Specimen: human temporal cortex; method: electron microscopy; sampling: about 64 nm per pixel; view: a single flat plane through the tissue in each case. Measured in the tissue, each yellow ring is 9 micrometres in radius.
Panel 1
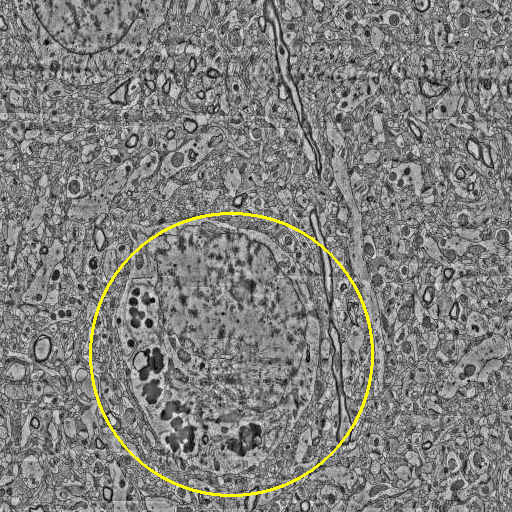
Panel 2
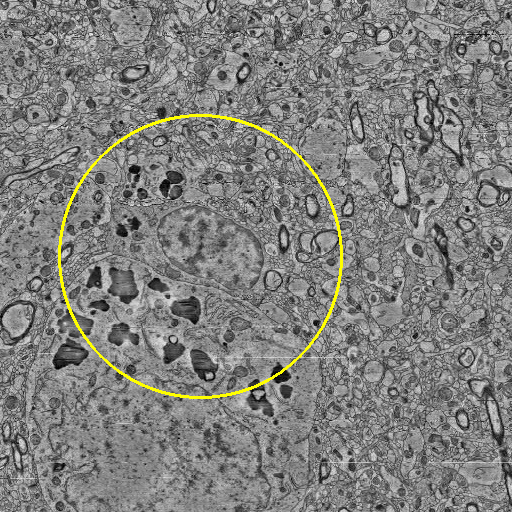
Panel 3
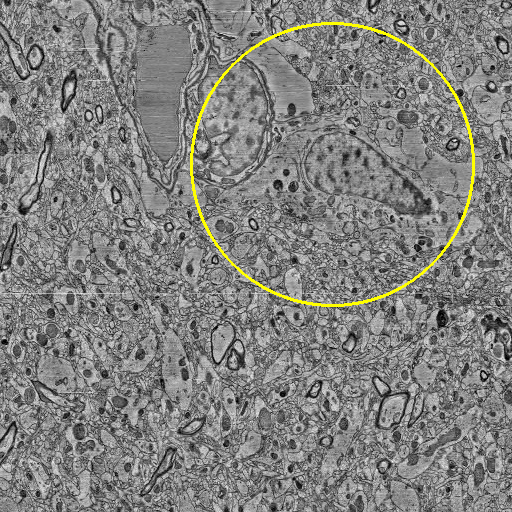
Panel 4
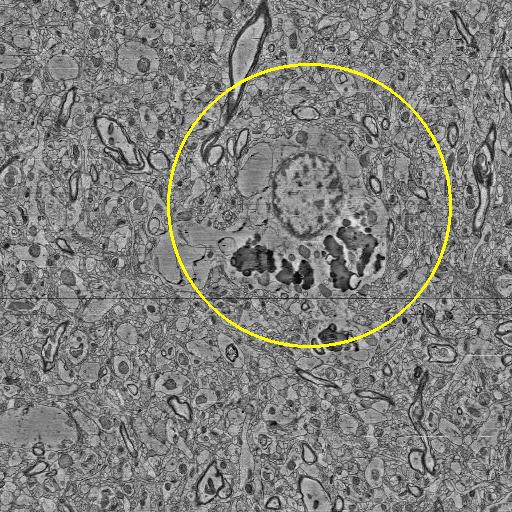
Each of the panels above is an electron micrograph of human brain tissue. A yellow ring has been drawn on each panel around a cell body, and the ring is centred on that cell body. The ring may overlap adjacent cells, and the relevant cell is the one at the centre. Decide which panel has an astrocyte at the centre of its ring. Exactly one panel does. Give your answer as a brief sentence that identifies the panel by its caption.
Panel 4 is the one with it at the centre of the ring.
